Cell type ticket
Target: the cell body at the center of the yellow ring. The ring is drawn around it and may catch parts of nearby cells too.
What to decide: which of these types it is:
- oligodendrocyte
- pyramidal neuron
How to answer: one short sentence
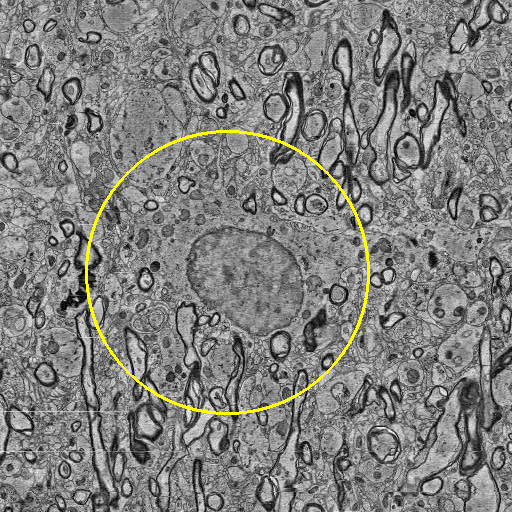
The cell at the center of the ring is an oligodendrocyte.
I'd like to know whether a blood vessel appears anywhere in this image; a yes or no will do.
No, none shows.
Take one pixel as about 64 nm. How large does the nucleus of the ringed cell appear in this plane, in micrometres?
In this plane the nucleus measures roughly 8 by 6 micrometres.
